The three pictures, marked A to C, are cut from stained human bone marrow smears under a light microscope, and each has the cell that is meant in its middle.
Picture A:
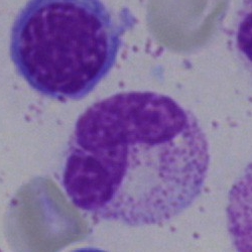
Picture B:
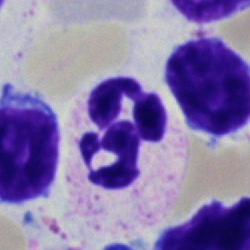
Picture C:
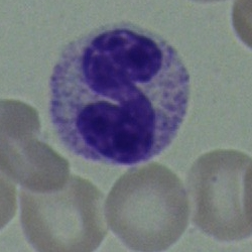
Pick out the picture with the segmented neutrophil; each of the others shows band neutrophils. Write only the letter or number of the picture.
B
